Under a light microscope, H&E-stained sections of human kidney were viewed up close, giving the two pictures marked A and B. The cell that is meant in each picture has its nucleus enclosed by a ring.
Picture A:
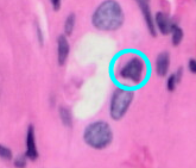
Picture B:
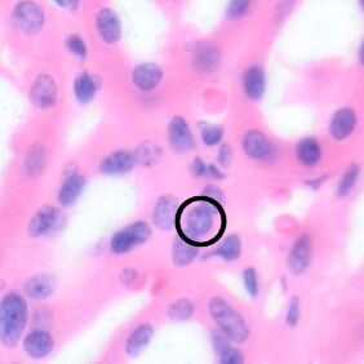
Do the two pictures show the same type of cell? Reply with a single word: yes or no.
yes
